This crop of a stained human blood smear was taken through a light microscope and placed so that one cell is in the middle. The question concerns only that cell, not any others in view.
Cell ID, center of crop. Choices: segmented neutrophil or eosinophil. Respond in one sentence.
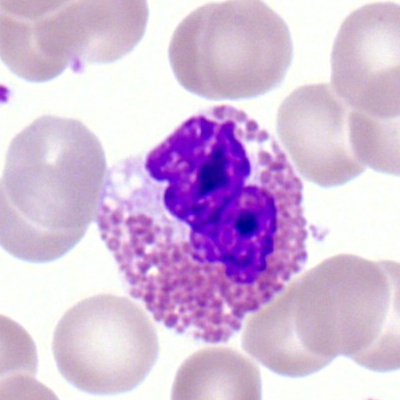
The centrally located cell in the crop is an eosinophil.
